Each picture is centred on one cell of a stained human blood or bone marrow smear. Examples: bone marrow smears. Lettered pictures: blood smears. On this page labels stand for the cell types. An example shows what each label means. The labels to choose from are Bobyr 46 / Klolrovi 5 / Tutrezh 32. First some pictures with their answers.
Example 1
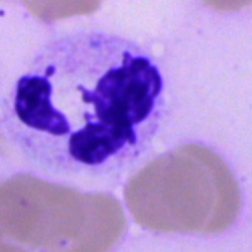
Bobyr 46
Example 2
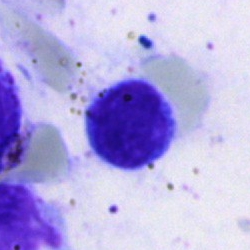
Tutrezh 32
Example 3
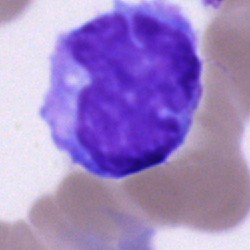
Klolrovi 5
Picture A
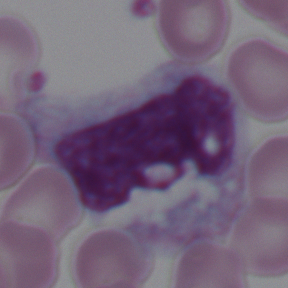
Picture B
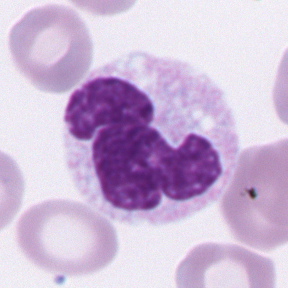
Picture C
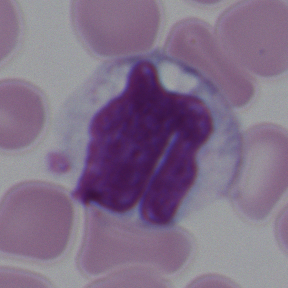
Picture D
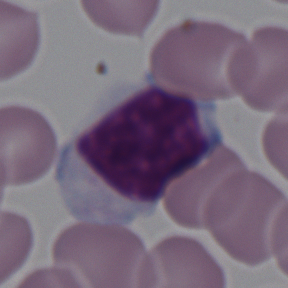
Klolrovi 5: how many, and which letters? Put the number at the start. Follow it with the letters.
2: A, C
